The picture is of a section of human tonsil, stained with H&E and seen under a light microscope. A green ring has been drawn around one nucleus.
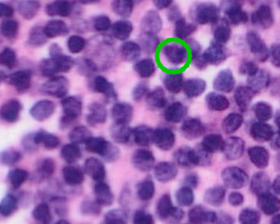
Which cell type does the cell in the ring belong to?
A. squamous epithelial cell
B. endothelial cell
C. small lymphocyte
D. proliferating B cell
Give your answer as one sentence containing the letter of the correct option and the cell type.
Option C is the correct one: the cell in the ring is a small lymphocyte.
